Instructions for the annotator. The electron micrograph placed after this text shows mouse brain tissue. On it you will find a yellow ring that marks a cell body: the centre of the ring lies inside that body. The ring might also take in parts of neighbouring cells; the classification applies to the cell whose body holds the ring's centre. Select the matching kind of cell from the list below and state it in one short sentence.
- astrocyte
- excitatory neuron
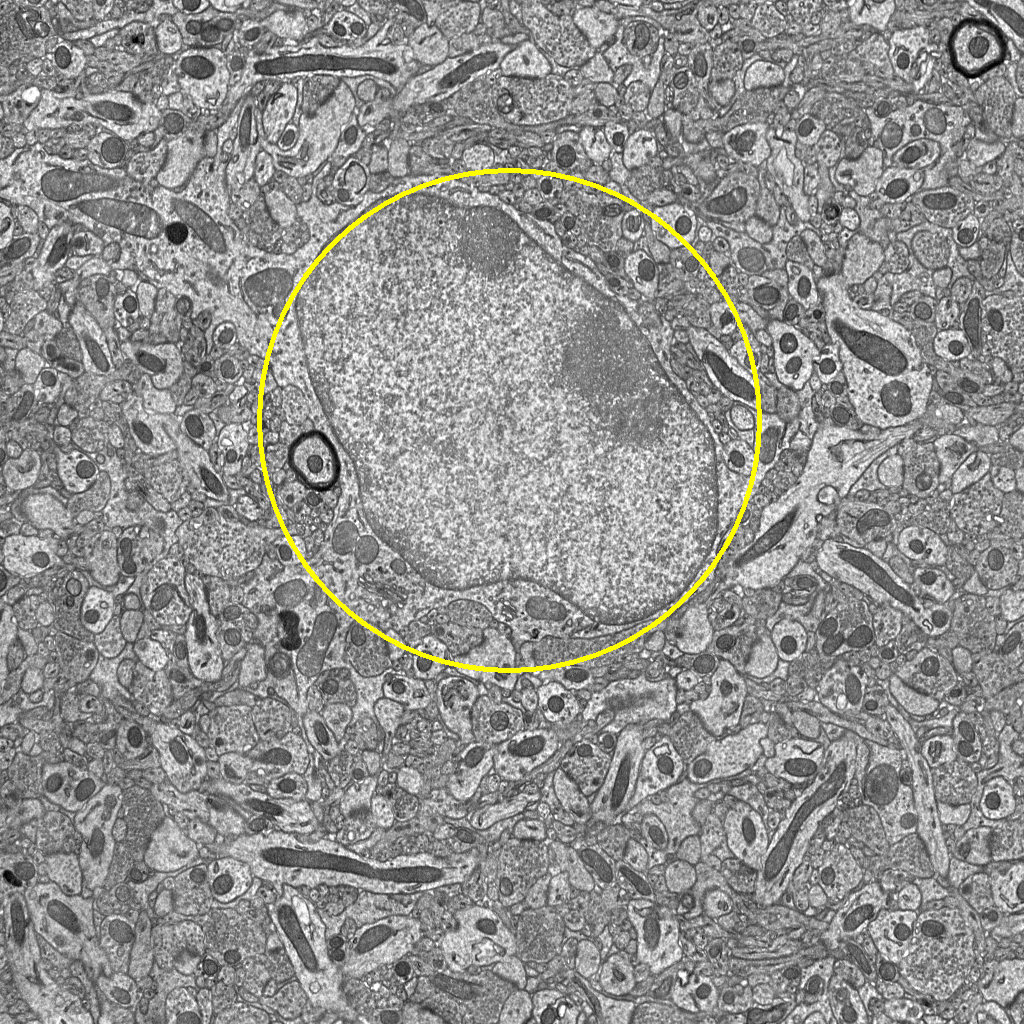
The centre of the ring lies in the cell body of an astrocyte.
